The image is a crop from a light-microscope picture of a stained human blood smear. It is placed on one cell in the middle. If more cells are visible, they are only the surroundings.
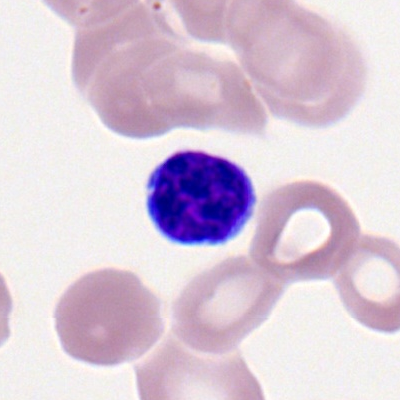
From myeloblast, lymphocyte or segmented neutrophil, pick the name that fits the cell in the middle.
lymphocyte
